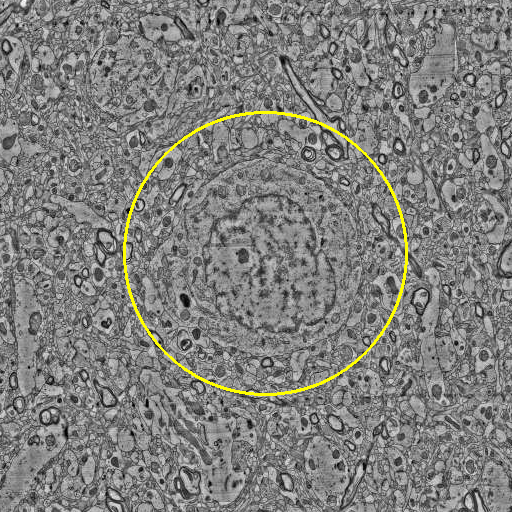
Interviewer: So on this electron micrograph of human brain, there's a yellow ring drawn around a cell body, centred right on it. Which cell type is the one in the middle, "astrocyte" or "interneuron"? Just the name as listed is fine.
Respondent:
interneuron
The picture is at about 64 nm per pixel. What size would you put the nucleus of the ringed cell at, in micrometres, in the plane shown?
Roughly 9 micrometers across, in this plane.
